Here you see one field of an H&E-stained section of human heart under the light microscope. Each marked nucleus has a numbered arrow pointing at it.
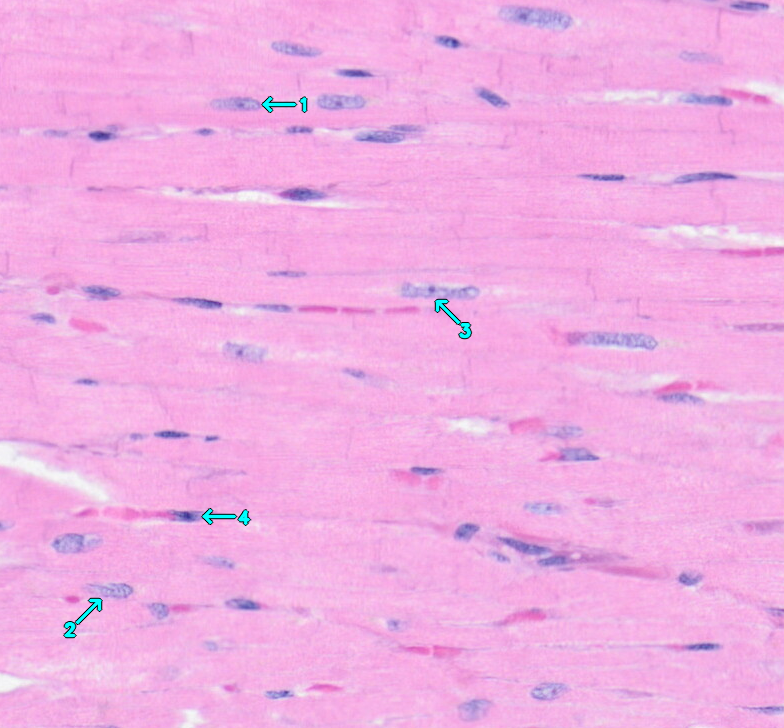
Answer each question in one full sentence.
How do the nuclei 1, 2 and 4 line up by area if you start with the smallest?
By area, going up from the smallest, they rank 4, 1, 2.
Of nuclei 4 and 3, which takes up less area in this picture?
The smaller nucleus is 4, and 3 covers roughly 3 times its area.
